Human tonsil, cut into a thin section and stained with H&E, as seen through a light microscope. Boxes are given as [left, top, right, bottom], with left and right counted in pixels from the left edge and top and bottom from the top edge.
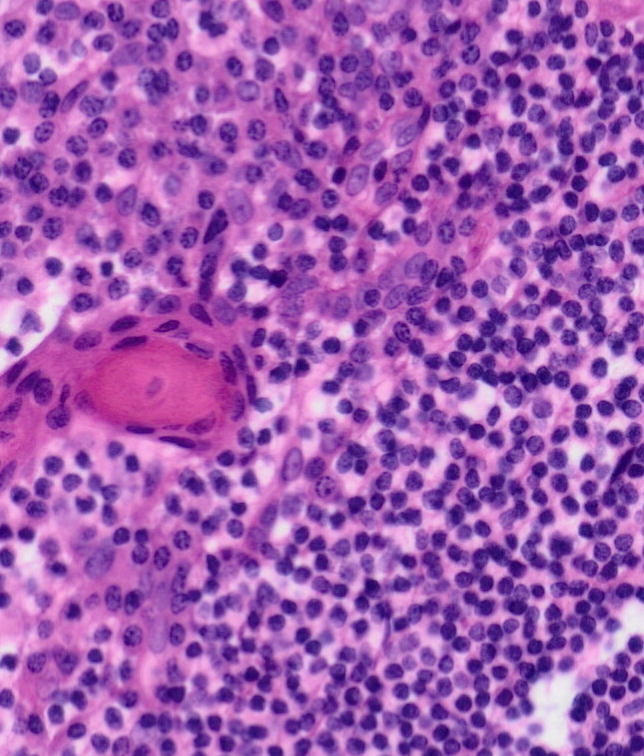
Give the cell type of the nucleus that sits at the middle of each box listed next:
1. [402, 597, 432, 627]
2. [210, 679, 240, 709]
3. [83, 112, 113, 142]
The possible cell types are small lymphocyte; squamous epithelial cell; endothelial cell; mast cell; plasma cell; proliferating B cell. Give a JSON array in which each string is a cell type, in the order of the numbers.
["small lymphocyte", "small lymphocyte", "plasma cell"]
